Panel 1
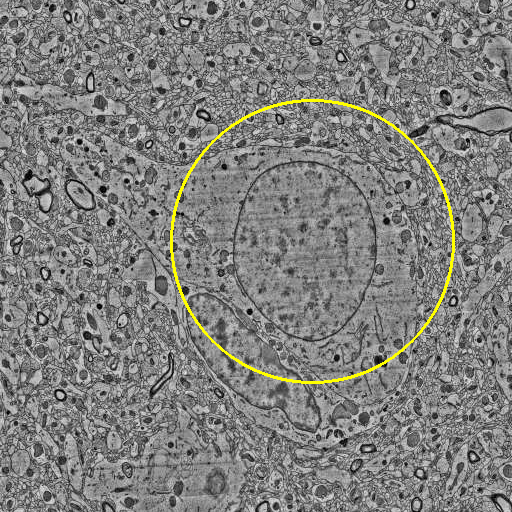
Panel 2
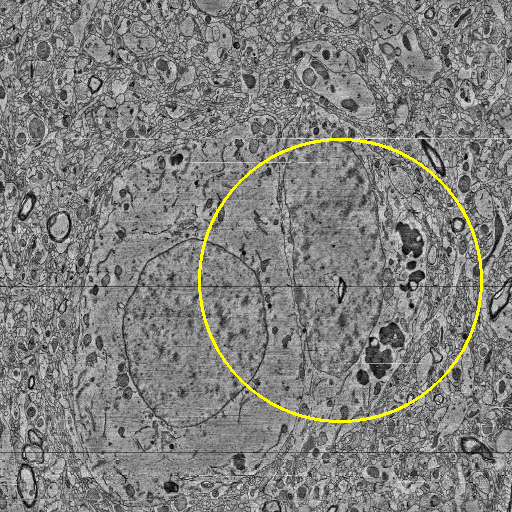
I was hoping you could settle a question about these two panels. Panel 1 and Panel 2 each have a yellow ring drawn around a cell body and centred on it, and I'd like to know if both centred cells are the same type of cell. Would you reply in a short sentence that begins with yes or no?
No, they are two types of cell.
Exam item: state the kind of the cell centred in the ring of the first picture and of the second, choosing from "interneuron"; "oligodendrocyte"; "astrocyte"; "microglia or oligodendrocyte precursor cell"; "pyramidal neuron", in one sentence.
The first picture shows a pyramidal neuron at the ring centre and the second shows an interneuron.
